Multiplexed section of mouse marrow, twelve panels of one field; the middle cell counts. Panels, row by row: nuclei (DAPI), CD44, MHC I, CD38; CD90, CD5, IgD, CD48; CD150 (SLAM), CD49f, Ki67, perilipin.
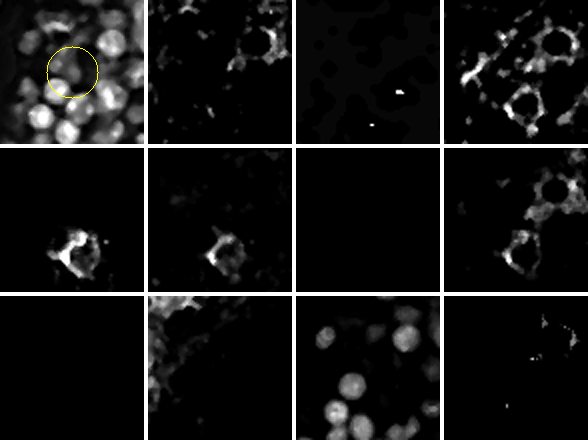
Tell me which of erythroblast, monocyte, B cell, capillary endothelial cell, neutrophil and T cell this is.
The picture shows an erythroblast.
